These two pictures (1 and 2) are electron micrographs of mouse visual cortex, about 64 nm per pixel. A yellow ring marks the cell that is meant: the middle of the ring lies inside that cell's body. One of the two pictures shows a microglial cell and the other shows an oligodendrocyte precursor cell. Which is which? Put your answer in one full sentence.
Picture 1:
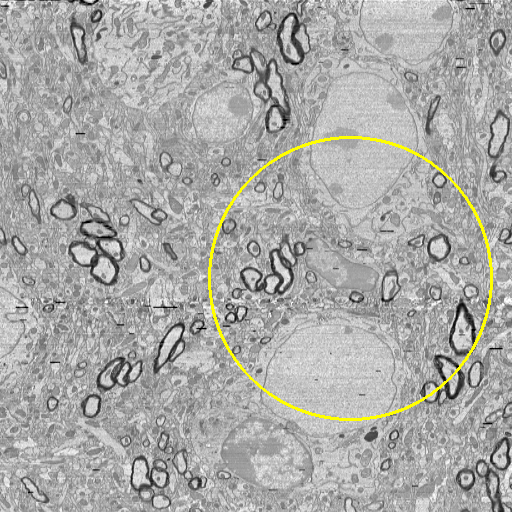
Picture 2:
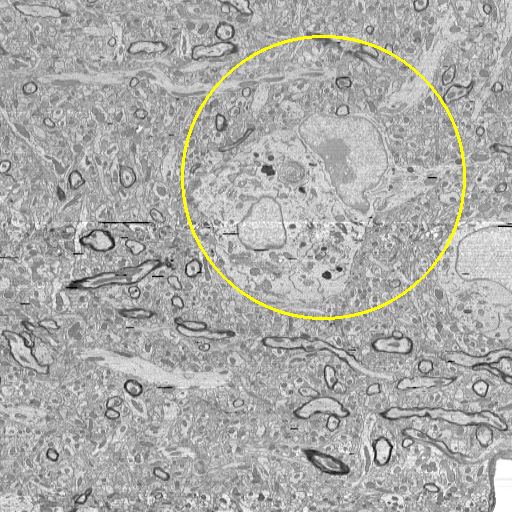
The cell in picture 1 is a microglial cell, and the one in picture 2 is an oligodendrocyte precursor cell.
